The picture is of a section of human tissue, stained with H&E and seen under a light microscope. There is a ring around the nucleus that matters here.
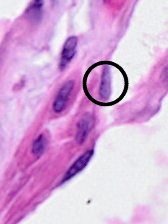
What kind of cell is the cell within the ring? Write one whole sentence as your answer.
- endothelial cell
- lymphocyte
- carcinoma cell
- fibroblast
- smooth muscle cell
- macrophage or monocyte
This is an endothelial cell.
